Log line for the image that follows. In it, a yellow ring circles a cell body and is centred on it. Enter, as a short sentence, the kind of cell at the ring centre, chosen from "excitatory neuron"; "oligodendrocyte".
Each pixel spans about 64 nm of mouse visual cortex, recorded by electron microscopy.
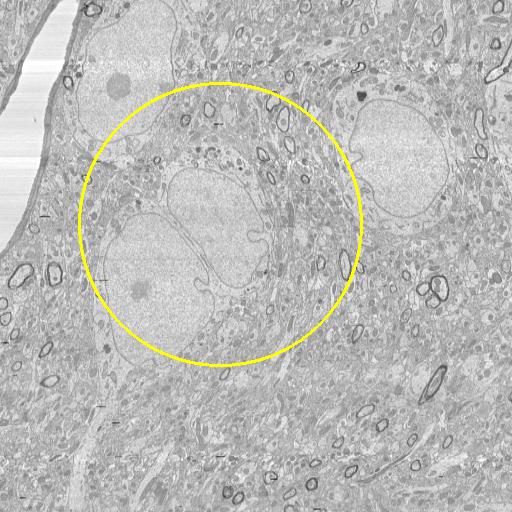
The ring centre is occupied by an excitatory neuron.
